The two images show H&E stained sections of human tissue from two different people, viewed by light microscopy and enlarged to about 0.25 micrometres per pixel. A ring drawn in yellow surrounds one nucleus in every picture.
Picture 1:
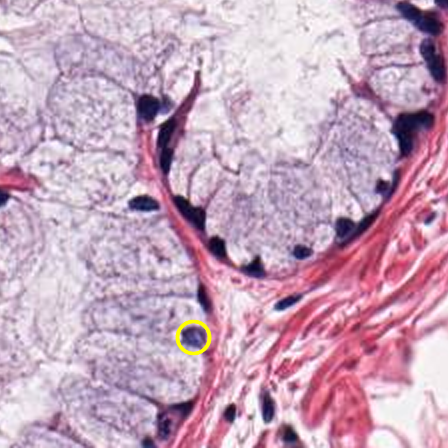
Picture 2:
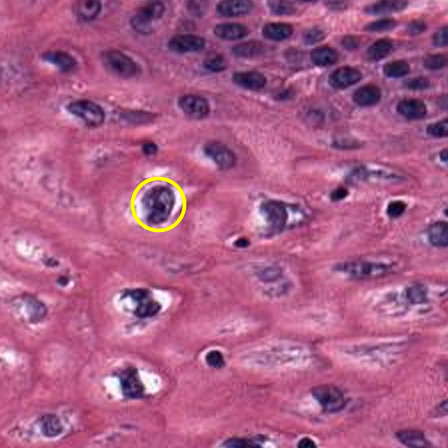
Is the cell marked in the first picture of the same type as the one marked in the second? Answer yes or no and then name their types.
No, the first is a mucous gland cell and the second a squamous epithelial cell.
